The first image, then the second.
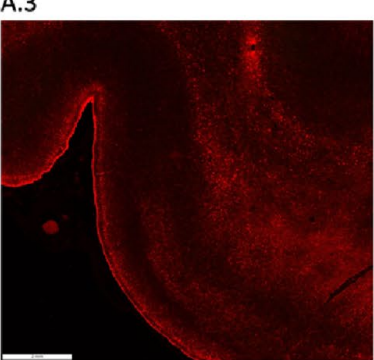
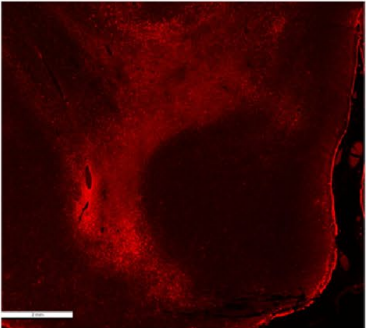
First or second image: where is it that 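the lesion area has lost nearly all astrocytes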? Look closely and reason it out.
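The second image. Second image: a large rounded area is almost black, with red signal only around it. First image: red signal is reduced but still scattered through the cortex.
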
